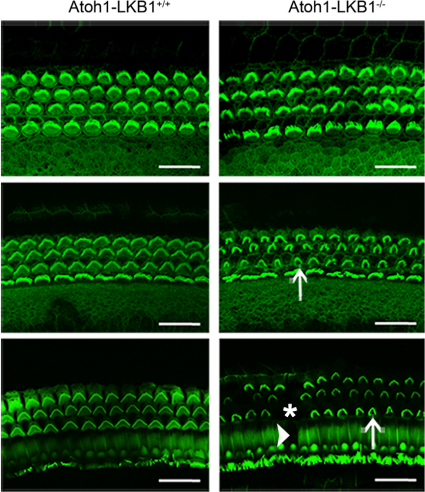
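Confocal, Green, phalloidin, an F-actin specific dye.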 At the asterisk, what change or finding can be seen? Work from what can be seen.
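Loss of outer hair cells. At the asterisk the regular rows of bundles have gaps.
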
